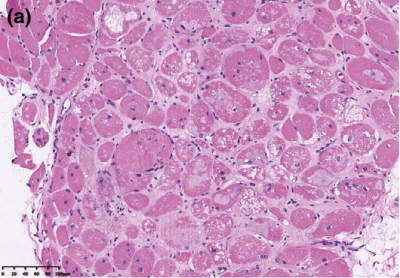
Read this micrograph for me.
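Skeletal muscle cut in cross-section shows rounded fibers of varying size separated by widened interstitial connective tissue with scattered nuclei. Several fibers hold nuclei inside rather than at the edge, and a number of fibers are pale with a vacuolated, granular cytoplasm among normally pink-staining fibers.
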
